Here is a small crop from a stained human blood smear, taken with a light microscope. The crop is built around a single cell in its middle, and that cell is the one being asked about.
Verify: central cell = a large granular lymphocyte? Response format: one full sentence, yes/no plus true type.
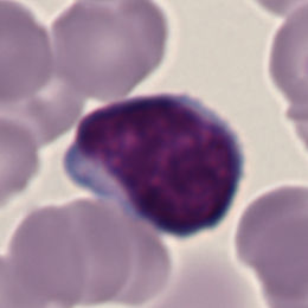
No, the cell sitting in the centre of the crop is a typical lymphocyte, not a large granular lymphocyte.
